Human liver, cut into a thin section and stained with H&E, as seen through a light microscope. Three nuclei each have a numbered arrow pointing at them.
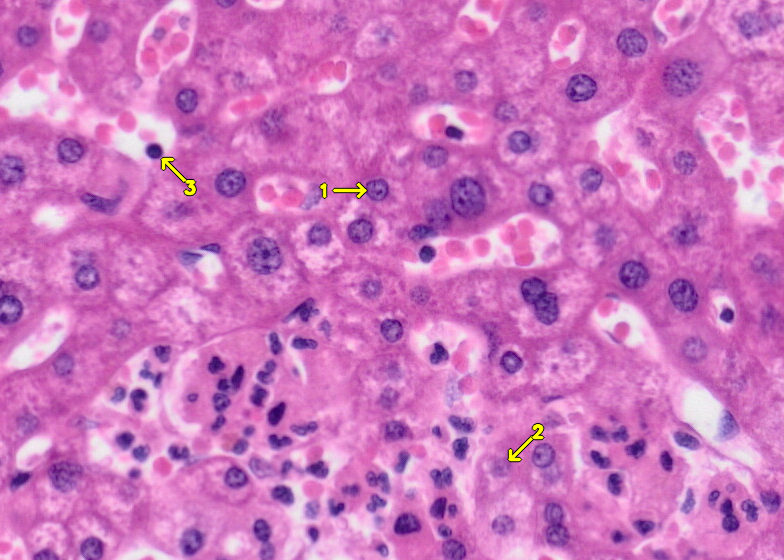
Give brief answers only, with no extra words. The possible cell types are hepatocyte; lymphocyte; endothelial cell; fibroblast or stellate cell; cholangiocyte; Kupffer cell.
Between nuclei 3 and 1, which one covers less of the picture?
3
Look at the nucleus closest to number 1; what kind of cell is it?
hepatocyte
